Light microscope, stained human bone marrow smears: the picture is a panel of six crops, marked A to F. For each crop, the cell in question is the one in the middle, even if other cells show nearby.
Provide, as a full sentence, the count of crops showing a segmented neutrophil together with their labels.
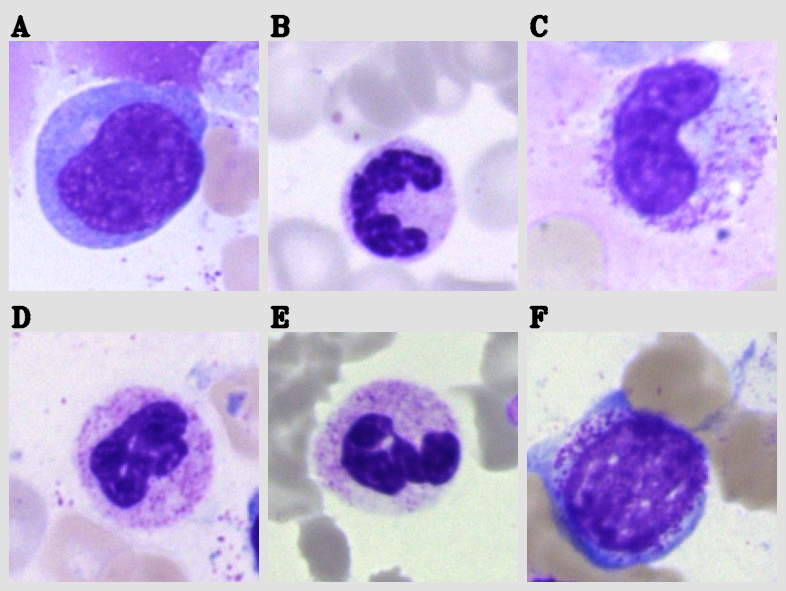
The three crops showing segmented neutrophils are B, D and E.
